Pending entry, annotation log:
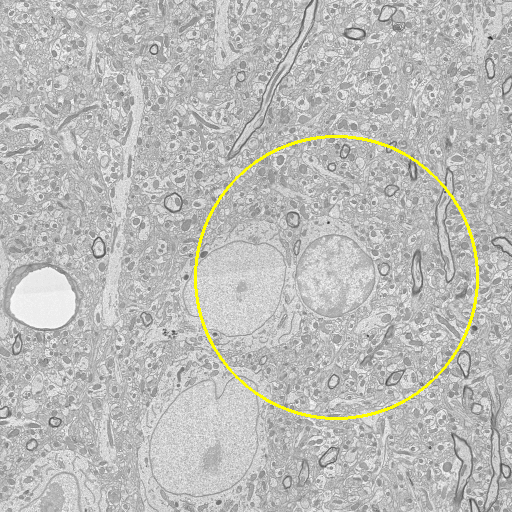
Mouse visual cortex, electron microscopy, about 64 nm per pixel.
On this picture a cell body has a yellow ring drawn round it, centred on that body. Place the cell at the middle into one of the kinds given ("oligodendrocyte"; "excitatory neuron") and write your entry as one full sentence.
The cell body at the middle of the yellow ring belongs to an oligodendrocyte.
